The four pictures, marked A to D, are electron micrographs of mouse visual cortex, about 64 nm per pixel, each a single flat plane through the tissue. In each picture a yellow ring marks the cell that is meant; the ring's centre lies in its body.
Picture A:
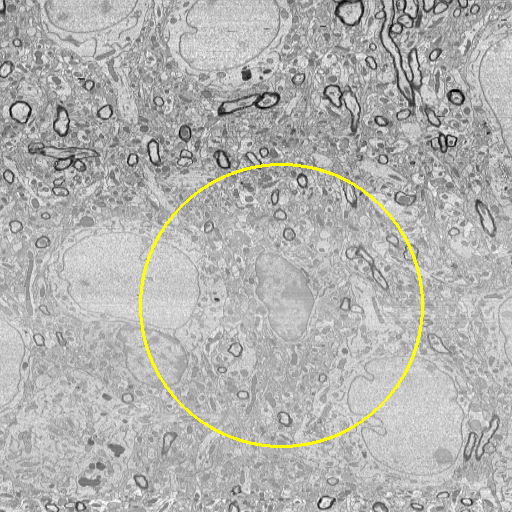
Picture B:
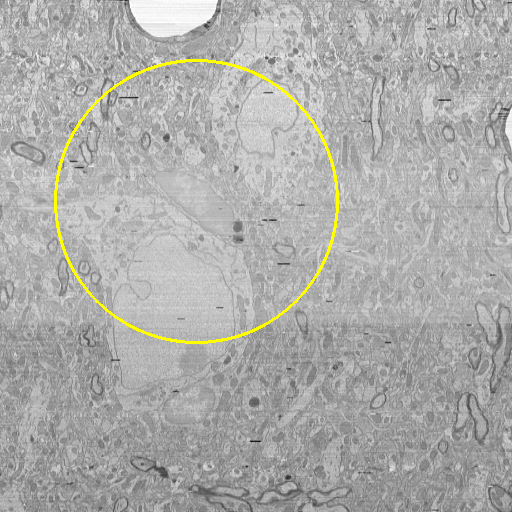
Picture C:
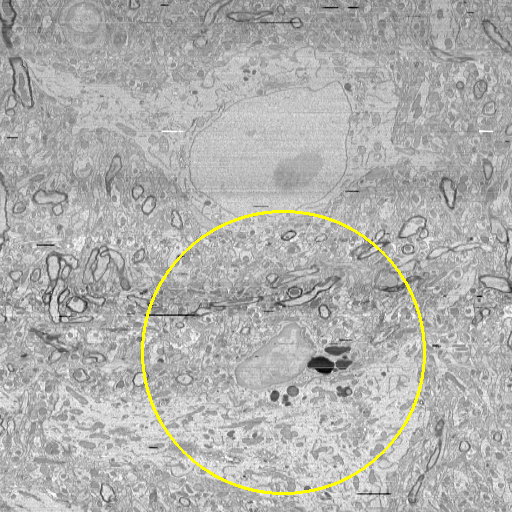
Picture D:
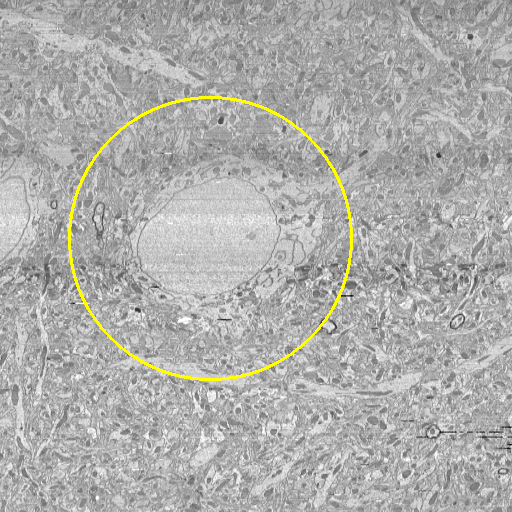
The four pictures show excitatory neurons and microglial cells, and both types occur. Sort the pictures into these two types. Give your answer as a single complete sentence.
Picture D shows an excitatory neuron; pictures A, B and C show microglial cells.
